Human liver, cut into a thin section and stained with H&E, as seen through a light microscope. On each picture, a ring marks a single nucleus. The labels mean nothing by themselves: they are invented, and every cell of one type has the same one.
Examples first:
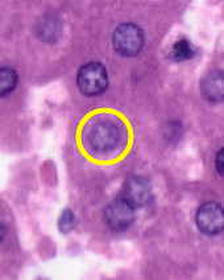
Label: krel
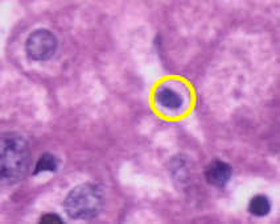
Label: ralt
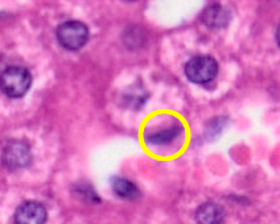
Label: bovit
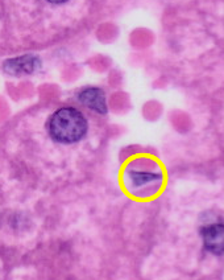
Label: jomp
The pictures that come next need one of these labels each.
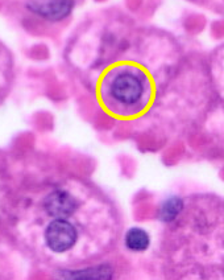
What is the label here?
krel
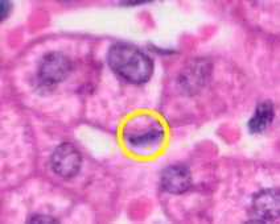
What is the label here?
jomp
